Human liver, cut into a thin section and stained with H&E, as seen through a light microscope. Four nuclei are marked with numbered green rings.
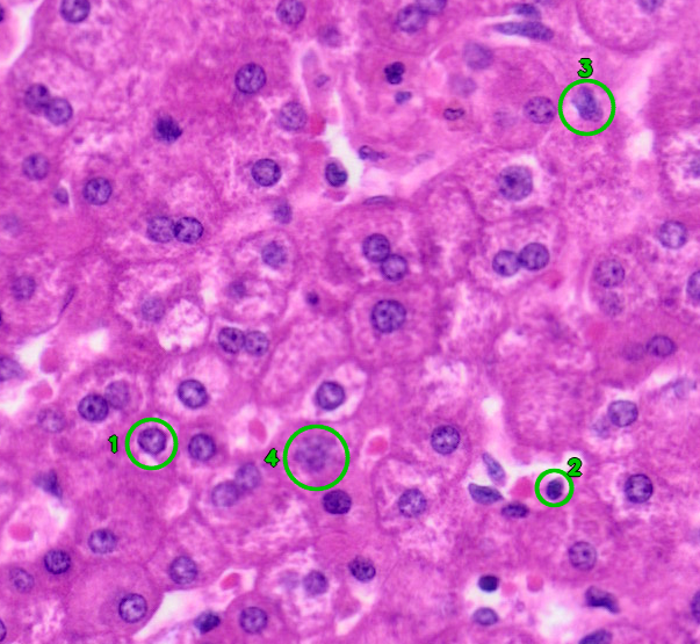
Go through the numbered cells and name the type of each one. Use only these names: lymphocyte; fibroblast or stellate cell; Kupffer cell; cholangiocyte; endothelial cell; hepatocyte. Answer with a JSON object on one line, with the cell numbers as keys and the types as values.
{"1": "hepatocyte", "2": "lymphocyte", "3": "endothelial cell", "4": "hepatocyte"}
